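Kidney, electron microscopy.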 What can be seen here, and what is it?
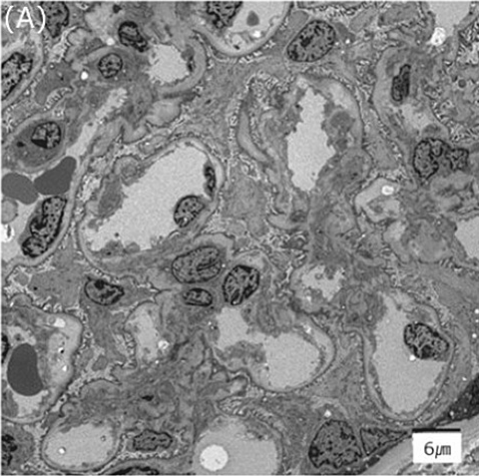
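A low-magnification view of a glomerulus shows many rounded capillary loops with pale, granular lumina. Some loops hold red blood cells as dark, smooth oval shapes. Between the loops lies a dense, grey, irregular mesangial area containing several nuclei with clumped chromatin. Scattered cells line or border the loops. At the margins, podocytes and the urinary space can be made out. Overall, the tuft looks crowded and the loop walls look broadened.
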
